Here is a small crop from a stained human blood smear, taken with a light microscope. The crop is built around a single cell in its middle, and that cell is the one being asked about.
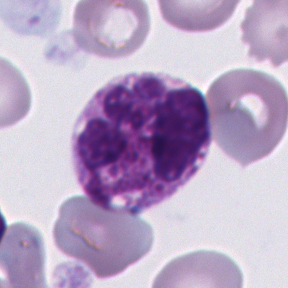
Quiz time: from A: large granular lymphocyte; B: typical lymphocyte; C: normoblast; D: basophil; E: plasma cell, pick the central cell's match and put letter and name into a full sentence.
The cell placed in the middle is a basophil; option D is correct.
